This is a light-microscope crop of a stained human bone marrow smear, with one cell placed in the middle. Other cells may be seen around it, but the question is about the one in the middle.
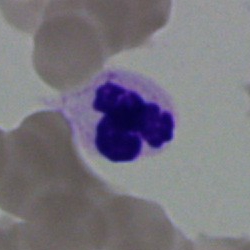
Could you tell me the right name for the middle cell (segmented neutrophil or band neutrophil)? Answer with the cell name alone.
segmented neutrophil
